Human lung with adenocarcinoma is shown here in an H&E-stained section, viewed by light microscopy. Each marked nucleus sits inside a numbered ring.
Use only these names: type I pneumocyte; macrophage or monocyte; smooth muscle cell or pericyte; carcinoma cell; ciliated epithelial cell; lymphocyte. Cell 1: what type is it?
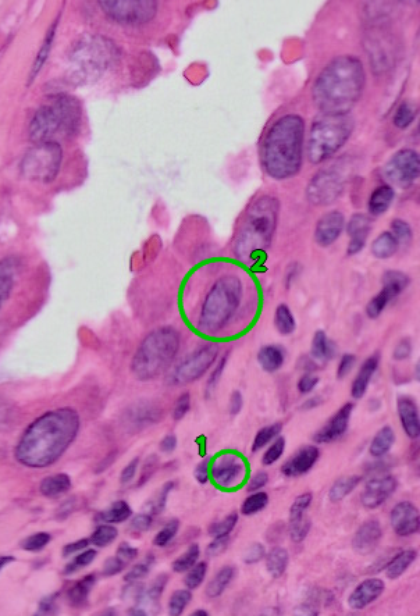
lymphocyte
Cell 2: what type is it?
carcinoma cell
